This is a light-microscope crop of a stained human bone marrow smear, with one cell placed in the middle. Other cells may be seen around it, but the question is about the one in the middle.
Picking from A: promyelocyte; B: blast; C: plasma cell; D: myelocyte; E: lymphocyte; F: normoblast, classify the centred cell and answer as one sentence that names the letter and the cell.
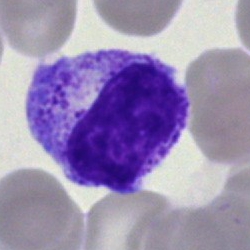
The cell right in the middle is a myelocyte, so option D is the one.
